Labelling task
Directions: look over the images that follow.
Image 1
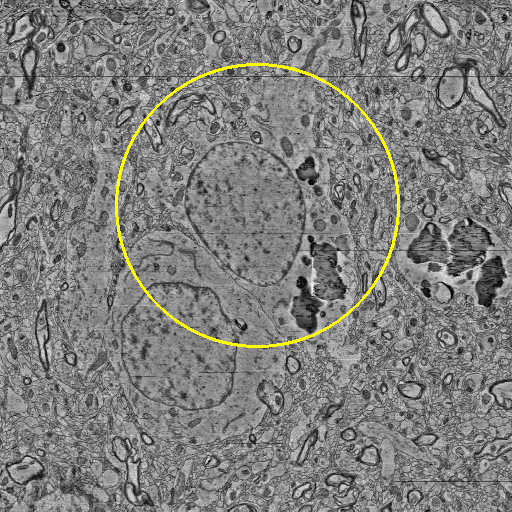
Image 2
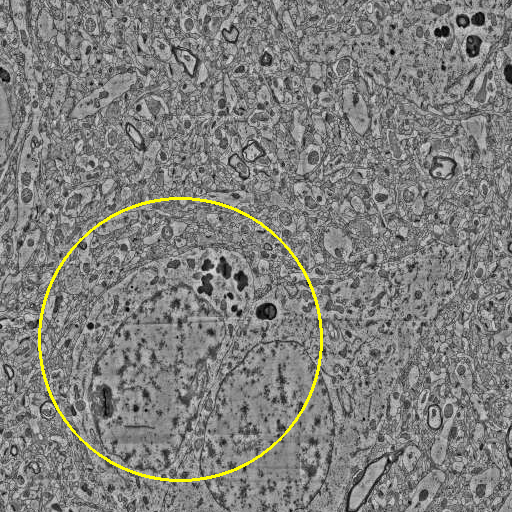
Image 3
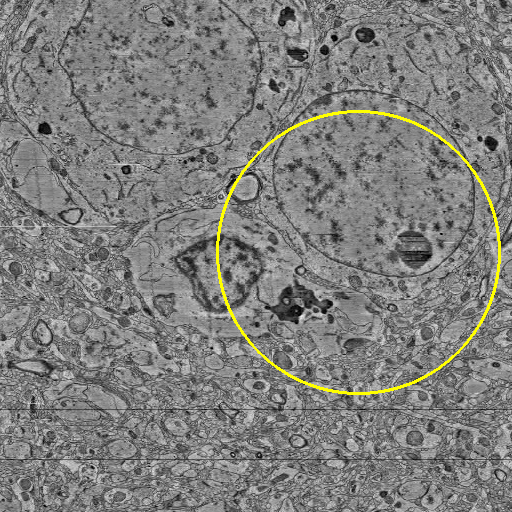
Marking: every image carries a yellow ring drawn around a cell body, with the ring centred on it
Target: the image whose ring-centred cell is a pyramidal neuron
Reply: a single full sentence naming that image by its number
The requested cell sits at the ring's centre in Image 3.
